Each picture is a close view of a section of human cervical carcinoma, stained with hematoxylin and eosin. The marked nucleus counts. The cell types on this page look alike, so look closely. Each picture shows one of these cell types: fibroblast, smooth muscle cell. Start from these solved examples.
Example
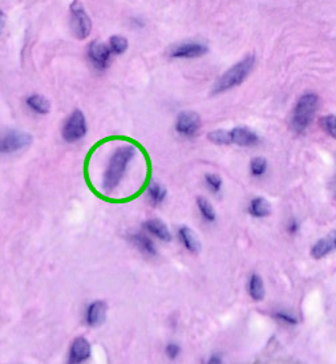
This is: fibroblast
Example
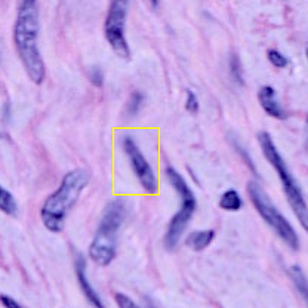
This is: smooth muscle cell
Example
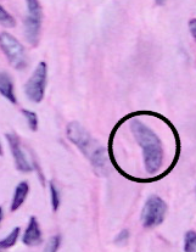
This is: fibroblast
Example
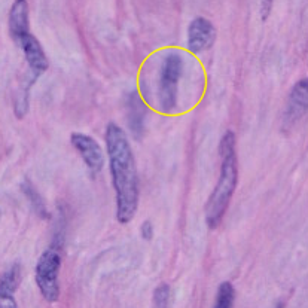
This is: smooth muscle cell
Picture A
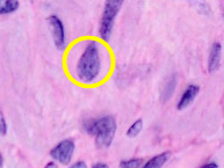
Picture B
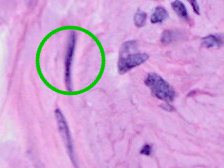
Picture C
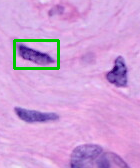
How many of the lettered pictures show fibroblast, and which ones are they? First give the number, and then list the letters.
Count: 3 (A, B, C)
